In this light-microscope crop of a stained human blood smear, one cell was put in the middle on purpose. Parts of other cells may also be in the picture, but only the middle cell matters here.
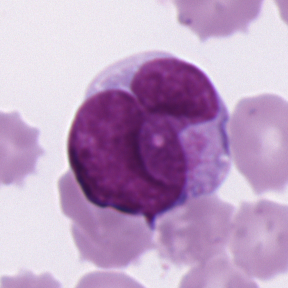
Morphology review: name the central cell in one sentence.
This crop has a blast at its centre.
